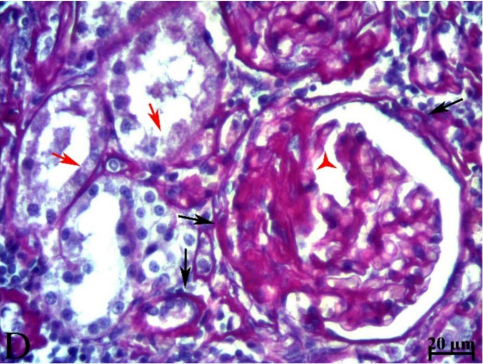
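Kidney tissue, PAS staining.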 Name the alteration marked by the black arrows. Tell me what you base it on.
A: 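The arrows point at deep magenta bands around tubules and the glomerular capsule. These bands are thick and of uneven contour.
Basement membrane thickening or irregularity of the basement membrane contour.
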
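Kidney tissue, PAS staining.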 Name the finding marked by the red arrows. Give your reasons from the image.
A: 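The arrows point at the luminal edge of tubule cells. The luminal surface lacks a continuous magenta fringe and looks ragged and pale.
Hence: loss of brush border.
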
